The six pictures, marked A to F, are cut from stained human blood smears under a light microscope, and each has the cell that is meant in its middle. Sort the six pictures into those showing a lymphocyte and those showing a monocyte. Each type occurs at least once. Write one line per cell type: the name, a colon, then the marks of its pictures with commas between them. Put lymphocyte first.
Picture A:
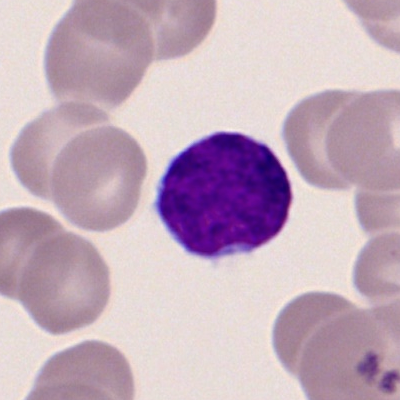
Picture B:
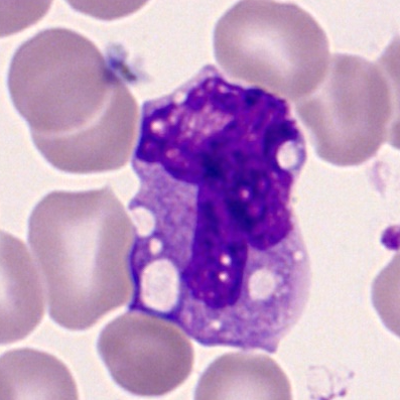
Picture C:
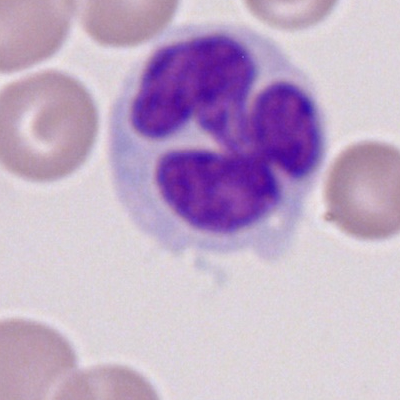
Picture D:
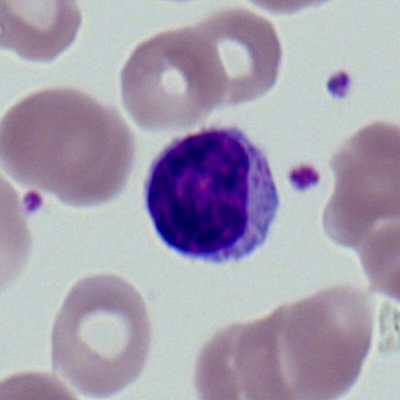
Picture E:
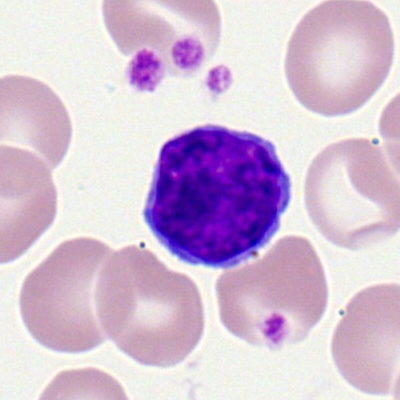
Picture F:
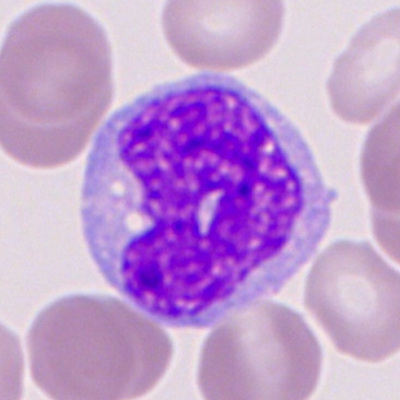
lymphocyte: A, D, E
monocyte: B, C, F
